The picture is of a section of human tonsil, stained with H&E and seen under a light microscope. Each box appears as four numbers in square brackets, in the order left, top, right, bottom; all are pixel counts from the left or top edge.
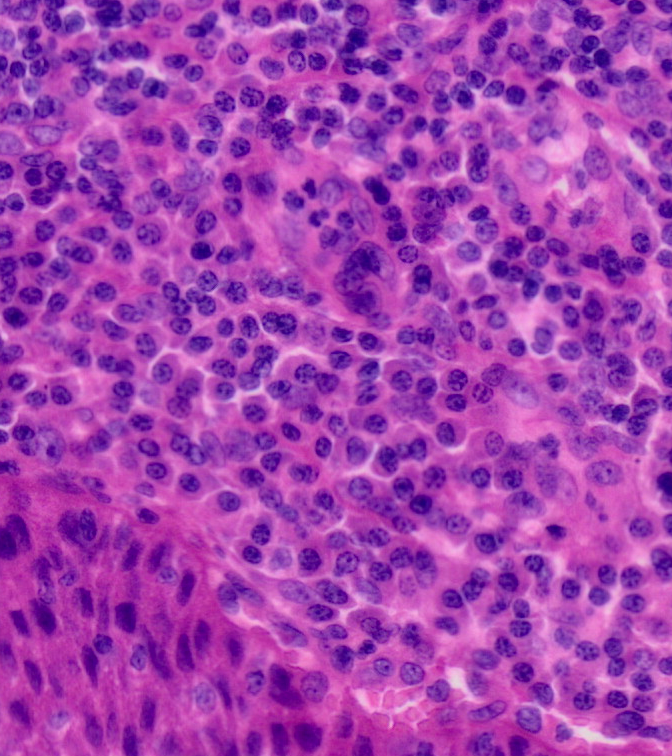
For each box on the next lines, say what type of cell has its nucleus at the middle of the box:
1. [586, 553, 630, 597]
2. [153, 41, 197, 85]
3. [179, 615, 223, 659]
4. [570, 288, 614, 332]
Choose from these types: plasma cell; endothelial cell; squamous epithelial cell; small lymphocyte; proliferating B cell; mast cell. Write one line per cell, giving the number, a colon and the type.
1: plasma cell
2: plasma cell
3: squamous epithelial cell
4: plasma cell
